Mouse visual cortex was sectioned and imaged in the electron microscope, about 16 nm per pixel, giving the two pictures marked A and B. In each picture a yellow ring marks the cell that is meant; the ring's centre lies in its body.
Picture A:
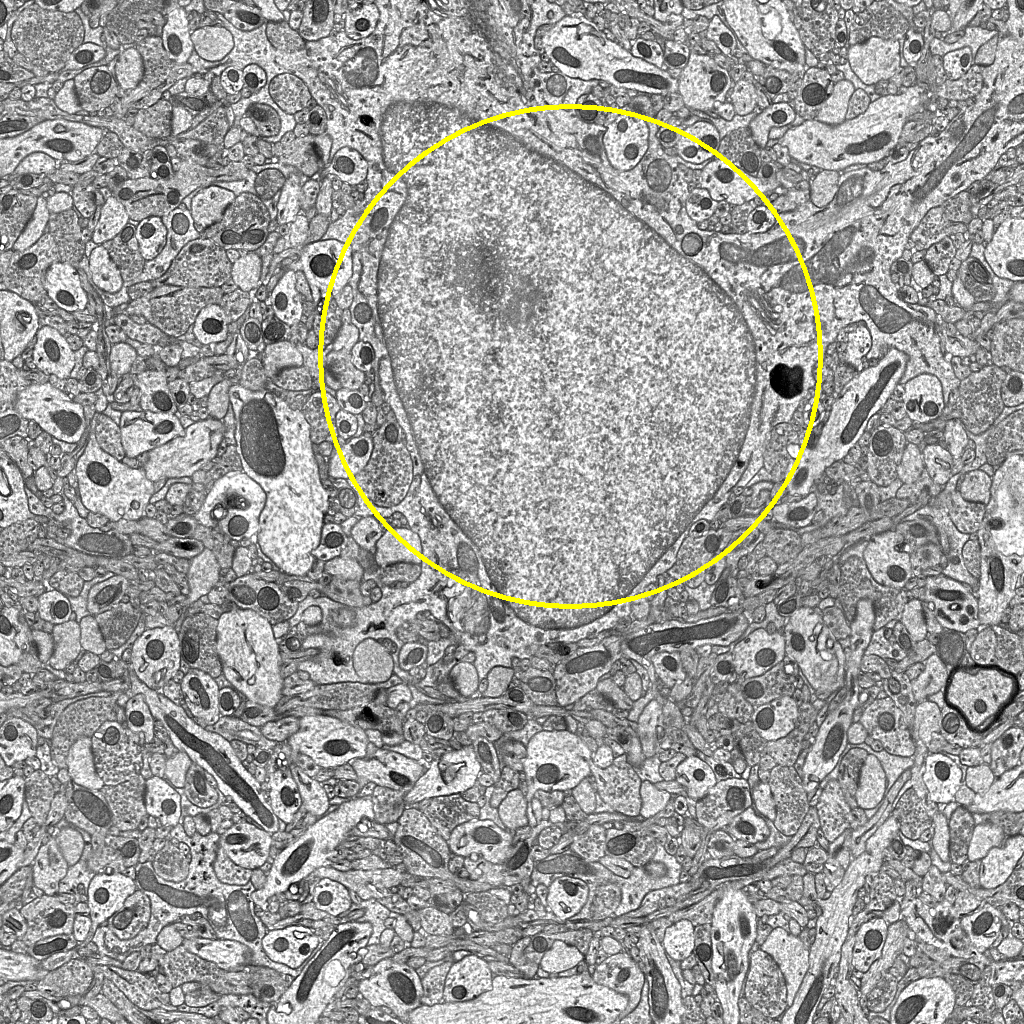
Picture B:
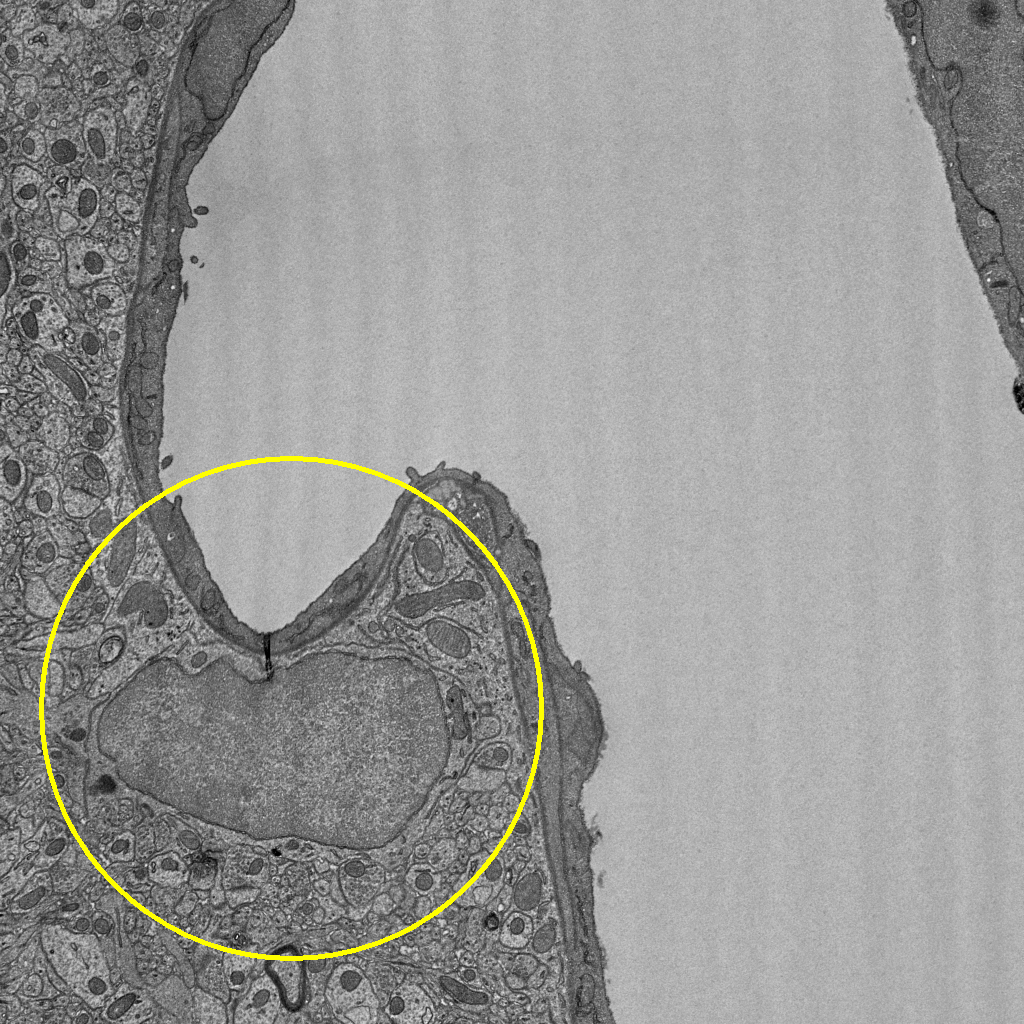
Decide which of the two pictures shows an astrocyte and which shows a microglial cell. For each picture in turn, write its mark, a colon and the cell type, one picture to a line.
A: astrocyte
B: microglial cell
